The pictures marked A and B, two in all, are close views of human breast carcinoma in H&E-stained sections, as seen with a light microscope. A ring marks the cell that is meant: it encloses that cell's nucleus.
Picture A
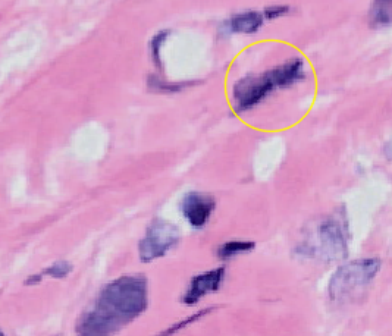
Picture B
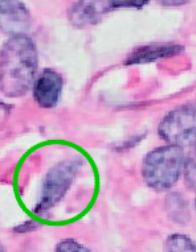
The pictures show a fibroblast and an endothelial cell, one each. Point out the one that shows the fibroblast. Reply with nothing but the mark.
A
